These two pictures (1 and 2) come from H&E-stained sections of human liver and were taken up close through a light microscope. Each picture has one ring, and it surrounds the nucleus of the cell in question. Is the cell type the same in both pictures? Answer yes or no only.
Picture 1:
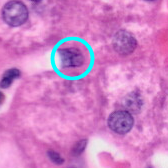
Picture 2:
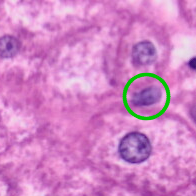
yes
